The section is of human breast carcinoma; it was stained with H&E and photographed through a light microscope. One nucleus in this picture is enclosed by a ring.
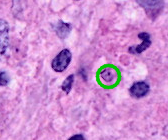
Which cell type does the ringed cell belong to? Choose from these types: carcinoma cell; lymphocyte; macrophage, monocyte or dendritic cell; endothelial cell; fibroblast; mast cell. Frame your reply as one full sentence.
In short, the ringed cell on this section is a macrophage, monocyte or dendritic cell.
